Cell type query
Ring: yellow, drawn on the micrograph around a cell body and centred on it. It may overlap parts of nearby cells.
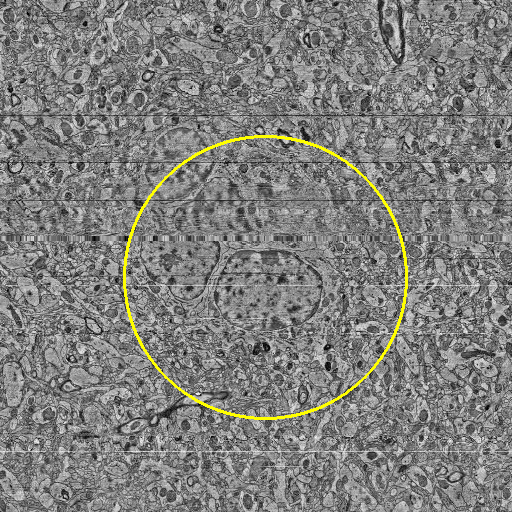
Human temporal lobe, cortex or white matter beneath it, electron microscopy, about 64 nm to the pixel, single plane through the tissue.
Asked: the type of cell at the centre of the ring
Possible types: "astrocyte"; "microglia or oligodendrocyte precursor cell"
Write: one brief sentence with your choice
The ring marks a microglial cell or oligodendrocyte precursor cell.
